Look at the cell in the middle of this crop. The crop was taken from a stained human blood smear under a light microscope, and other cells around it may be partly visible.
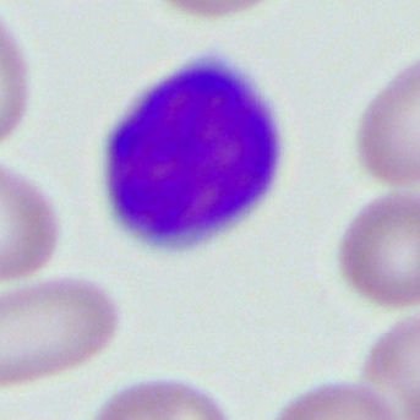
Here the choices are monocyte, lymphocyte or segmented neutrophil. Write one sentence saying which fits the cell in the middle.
The middle of this crop holds a lymphocyte.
